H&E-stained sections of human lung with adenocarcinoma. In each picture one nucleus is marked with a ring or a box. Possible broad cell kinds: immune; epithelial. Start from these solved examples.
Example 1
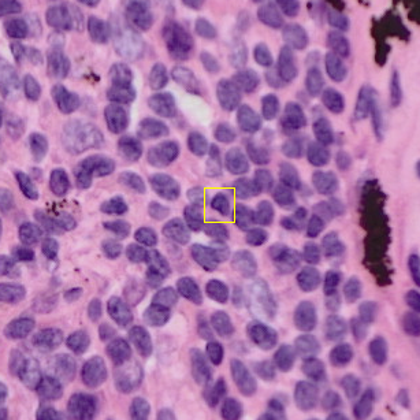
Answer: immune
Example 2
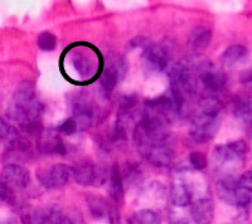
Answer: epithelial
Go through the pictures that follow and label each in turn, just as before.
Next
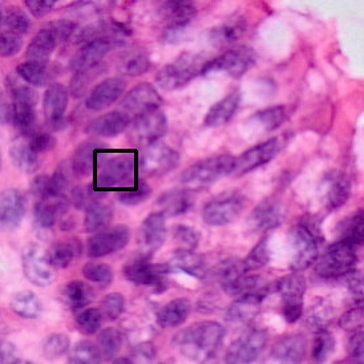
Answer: epithelial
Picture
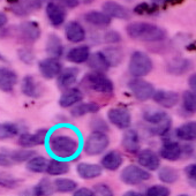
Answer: immune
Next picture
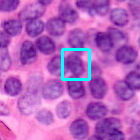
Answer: immune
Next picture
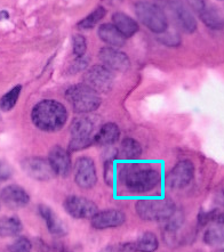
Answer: epithelial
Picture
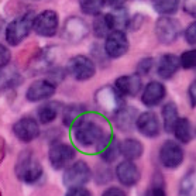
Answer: immune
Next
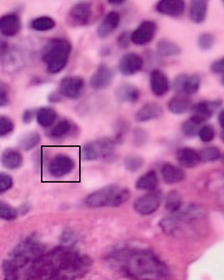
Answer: immune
